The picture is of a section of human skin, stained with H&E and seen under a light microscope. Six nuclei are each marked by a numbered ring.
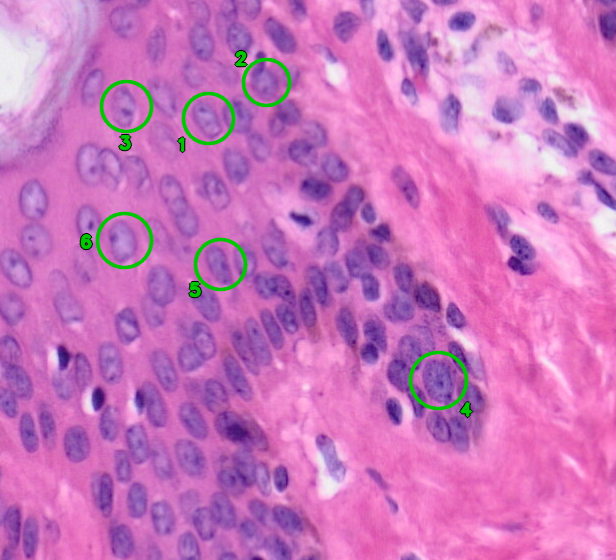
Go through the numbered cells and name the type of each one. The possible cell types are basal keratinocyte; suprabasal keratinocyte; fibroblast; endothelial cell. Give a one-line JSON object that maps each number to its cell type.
{"1": "suprabasal keratinocyte", "2": "basal keratinocyte", "3": "suprabasal keratinocyte", "4": "basal keratinocyte", "5": "suprabasal keratinocyte", "6": "suprabasal keratinocyte"}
